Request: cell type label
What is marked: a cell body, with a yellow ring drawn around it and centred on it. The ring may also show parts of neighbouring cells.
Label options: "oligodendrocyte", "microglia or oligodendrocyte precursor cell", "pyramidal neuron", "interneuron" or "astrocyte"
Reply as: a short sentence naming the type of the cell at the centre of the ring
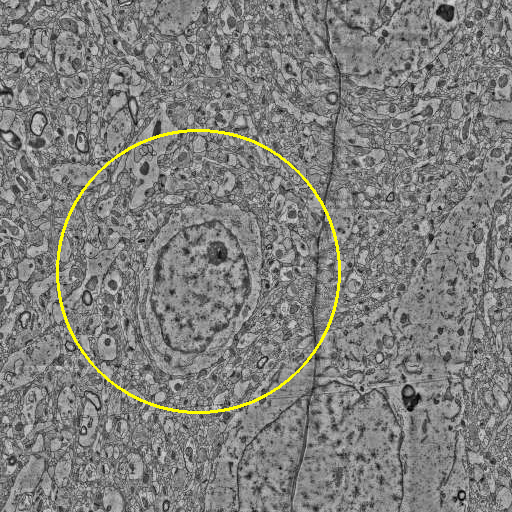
The marked cell body is that of an interneuron.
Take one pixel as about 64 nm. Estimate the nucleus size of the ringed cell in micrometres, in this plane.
The nucleus appears roughly 9 by 6 micrometres in this plane.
